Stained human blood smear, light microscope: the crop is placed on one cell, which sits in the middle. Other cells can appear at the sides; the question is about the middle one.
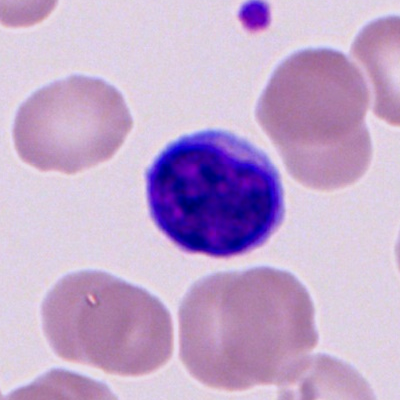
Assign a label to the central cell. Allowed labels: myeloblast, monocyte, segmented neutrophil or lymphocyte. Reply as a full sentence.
Classification of the middle cell gives a lymphocyte.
